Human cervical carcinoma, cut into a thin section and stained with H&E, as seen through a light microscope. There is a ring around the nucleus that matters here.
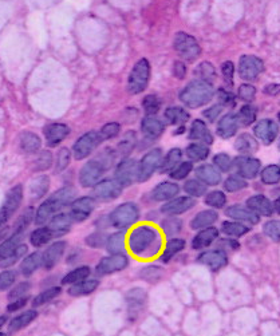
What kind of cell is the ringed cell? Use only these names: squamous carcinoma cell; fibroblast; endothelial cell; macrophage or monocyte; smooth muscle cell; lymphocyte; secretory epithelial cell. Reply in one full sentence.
In the stained section, the ringed cell is a secretory epithelial cell.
